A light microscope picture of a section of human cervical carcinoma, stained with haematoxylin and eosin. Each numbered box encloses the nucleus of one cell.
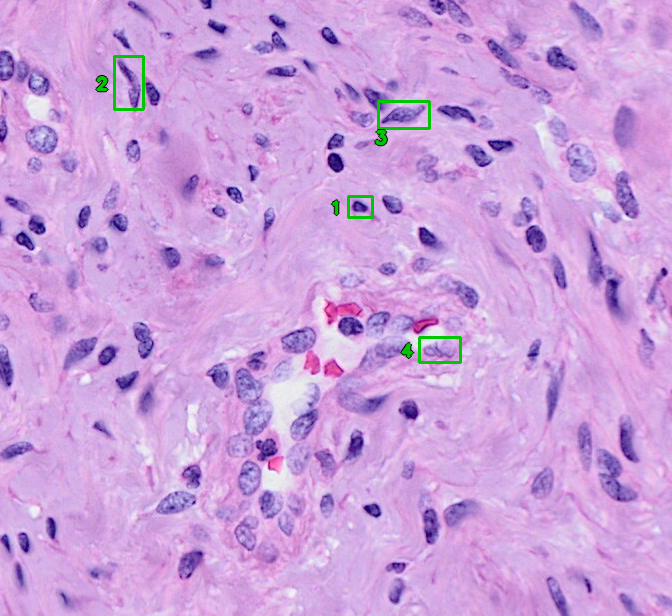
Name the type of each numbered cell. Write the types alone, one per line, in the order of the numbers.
fibroblast
fibroblast
fibroblast
endothelial cell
